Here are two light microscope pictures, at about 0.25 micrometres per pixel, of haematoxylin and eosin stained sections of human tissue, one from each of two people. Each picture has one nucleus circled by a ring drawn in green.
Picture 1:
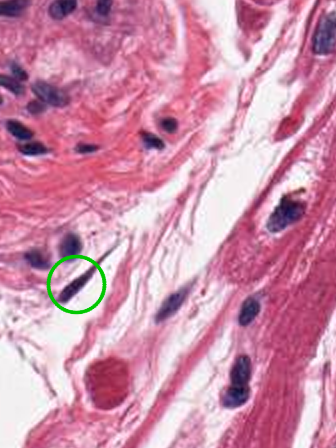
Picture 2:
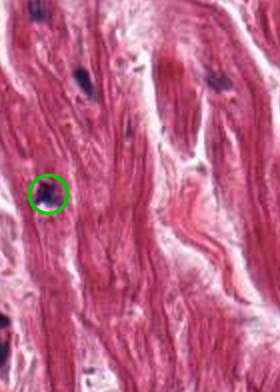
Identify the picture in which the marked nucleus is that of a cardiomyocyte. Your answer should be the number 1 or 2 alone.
2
